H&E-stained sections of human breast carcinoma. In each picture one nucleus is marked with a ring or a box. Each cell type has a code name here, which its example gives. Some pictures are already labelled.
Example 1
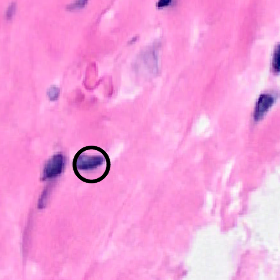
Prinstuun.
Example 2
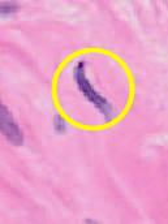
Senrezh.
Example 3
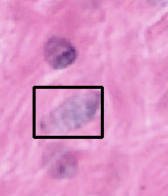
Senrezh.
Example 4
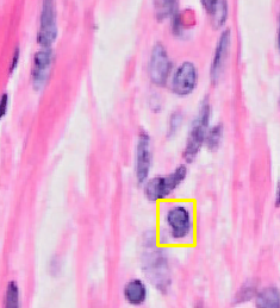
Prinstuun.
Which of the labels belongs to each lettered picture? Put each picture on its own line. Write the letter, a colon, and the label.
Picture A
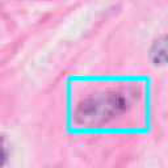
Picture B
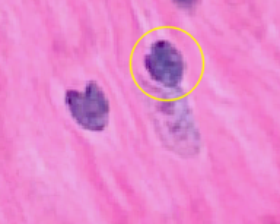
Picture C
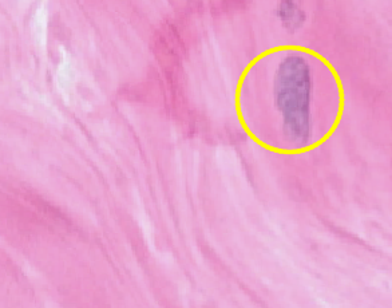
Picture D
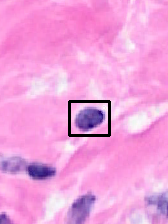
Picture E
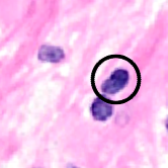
A: Senrezh.
B: Prinstuun.
C: Senrezh.
D: Prinstuun.
E: Prinstuun.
